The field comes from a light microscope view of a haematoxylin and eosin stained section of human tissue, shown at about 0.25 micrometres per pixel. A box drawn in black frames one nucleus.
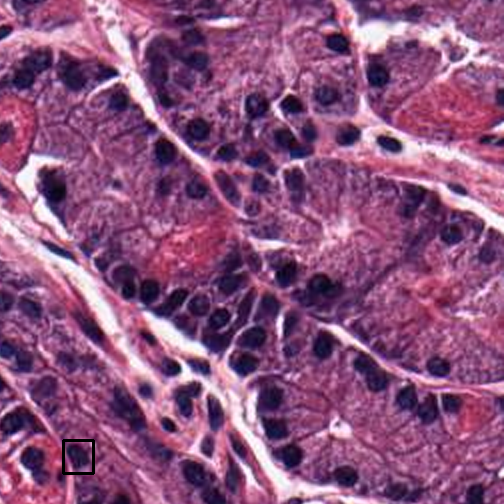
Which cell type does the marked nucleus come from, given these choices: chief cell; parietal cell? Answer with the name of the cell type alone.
chief cell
